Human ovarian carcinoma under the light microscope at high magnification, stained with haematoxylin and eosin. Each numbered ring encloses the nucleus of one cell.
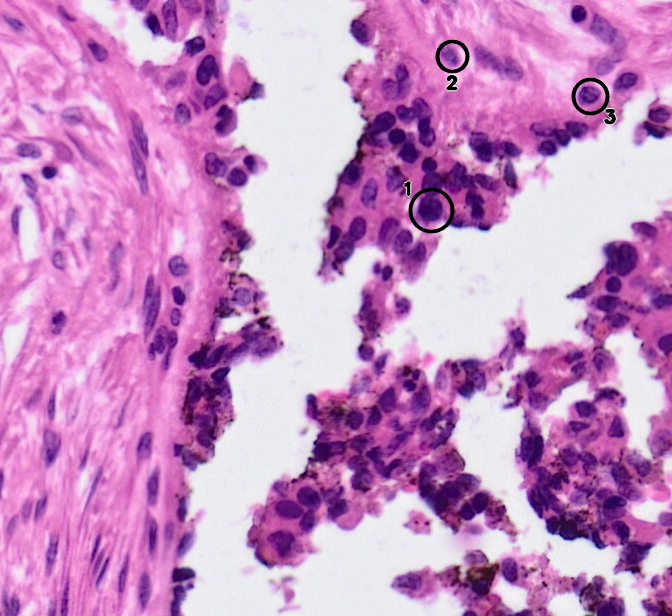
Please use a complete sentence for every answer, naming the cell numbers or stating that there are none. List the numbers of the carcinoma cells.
Mind that only cell 1 is a carcinoma cell, none of the rest.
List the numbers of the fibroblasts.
Response: cell 2 is a fibroblast, and no other numbered cell is.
